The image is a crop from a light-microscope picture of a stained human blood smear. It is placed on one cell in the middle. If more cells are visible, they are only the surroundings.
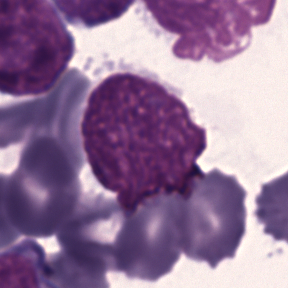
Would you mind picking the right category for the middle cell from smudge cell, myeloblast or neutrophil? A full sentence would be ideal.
Framed in the middle of the crop is a smudge cell.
